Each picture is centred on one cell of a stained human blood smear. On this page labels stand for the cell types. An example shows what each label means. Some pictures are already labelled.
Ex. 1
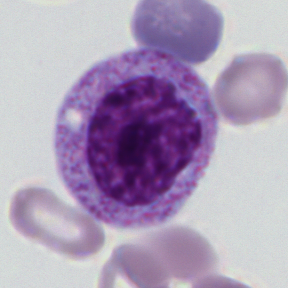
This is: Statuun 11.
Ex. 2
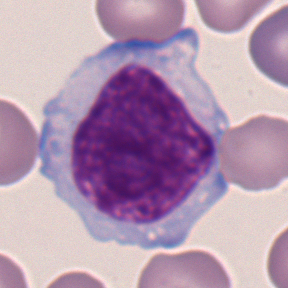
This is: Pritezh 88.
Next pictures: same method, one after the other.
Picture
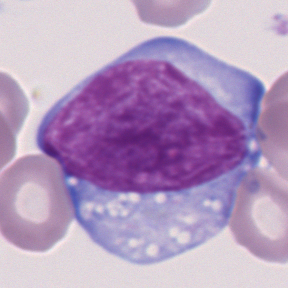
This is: Pritezh 88.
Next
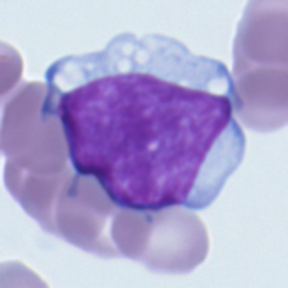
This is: Pritezh 88.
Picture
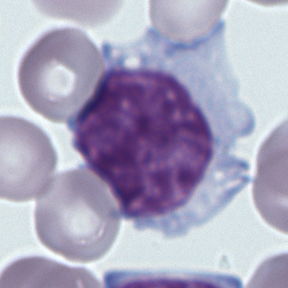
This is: Pritezh 88.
